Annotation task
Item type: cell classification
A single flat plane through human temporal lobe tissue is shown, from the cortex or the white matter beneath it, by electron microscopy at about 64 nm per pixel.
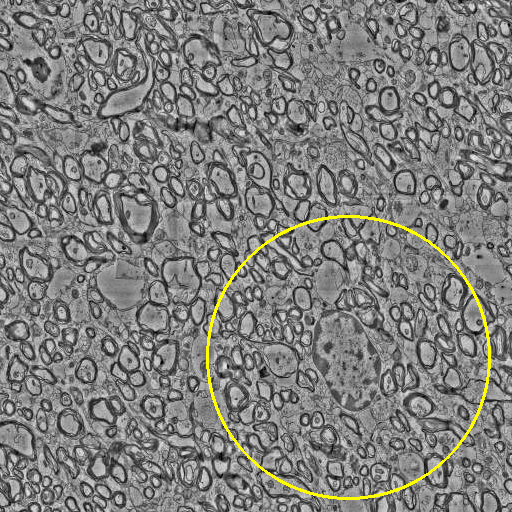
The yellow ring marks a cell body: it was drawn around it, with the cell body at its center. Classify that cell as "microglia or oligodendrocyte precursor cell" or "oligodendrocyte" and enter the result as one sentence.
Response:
The ring's center falls on a microglial cell or oligodendrocyte precursor cell.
